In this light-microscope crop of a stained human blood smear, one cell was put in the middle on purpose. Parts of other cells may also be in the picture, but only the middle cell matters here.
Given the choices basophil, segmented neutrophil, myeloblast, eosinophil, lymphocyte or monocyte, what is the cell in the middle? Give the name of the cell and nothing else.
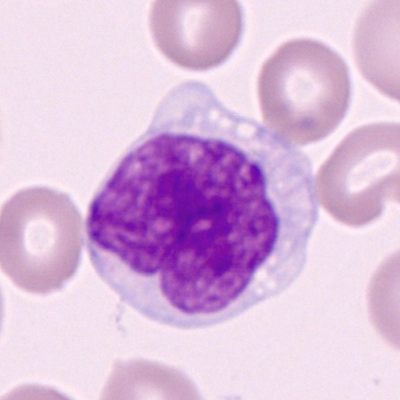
monocyte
